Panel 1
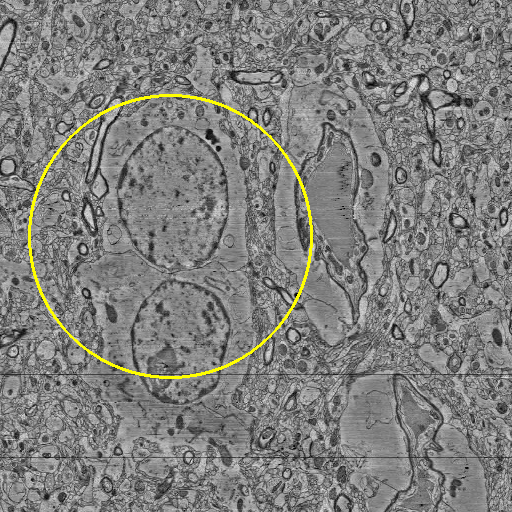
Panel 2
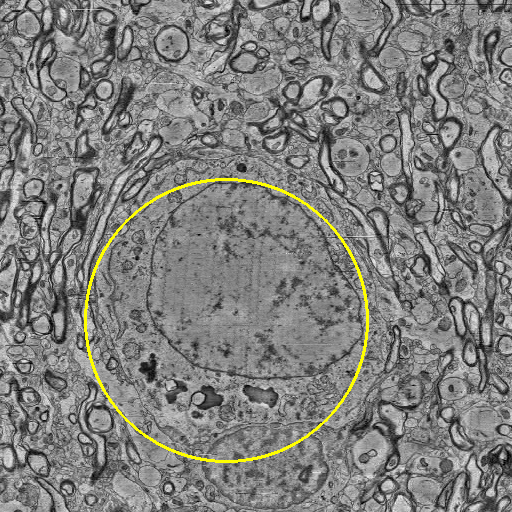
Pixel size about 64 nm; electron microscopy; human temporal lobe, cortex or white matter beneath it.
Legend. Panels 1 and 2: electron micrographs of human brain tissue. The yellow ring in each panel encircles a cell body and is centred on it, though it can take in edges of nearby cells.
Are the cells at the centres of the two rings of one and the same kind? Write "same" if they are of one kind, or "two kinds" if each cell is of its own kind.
two kinds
